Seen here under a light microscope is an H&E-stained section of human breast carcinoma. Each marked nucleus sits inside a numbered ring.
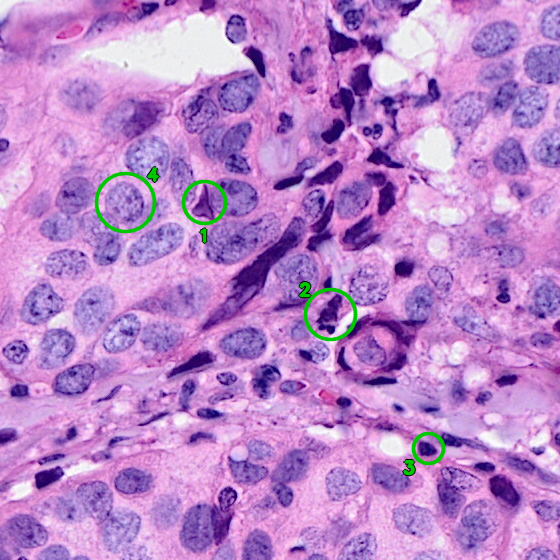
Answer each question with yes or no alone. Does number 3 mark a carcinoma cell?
no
